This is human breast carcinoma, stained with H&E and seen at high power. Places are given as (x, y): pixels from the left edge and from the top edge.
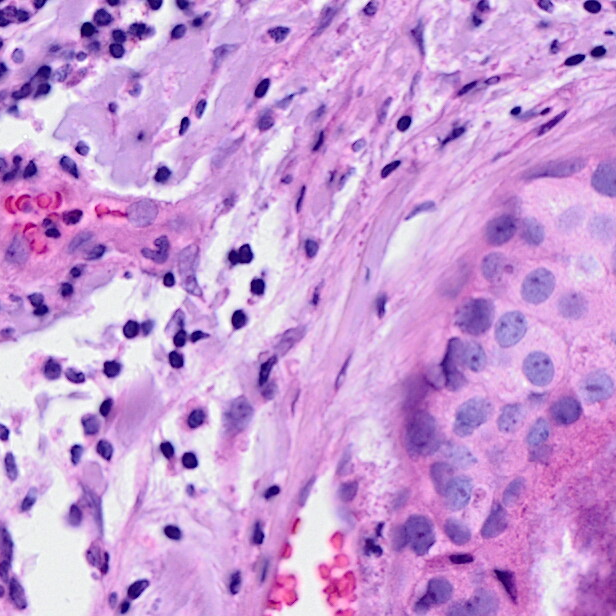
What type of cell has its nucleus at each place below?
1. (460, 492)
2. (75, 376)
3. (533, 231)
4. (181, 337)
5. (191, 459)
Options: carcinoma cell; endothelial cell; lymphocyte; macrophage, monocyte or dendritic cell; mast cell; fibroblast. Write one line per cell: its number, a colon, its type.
1: carcinoma cell
2: lymphocyte
3: carcinoma cell
4: lymphocyte
5: lymphocyte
